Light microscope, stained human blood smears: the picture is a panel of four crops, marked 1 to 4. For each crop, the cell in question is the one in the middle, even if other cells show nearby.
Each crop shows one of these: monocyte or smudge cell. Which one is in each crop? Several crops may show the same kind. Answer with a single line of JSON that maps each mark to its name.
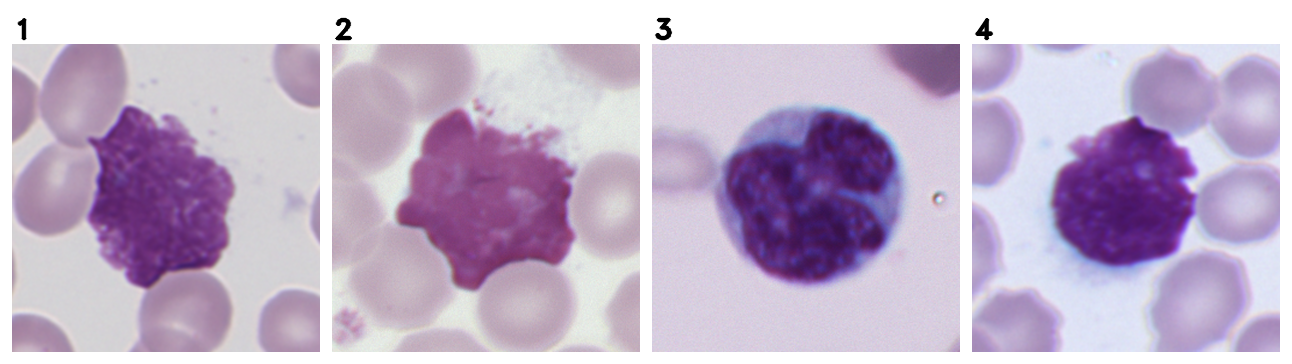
{"1": "smudge cell", "2": "smudge cell", "3": "monocyte", "4": "smudge cell"}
